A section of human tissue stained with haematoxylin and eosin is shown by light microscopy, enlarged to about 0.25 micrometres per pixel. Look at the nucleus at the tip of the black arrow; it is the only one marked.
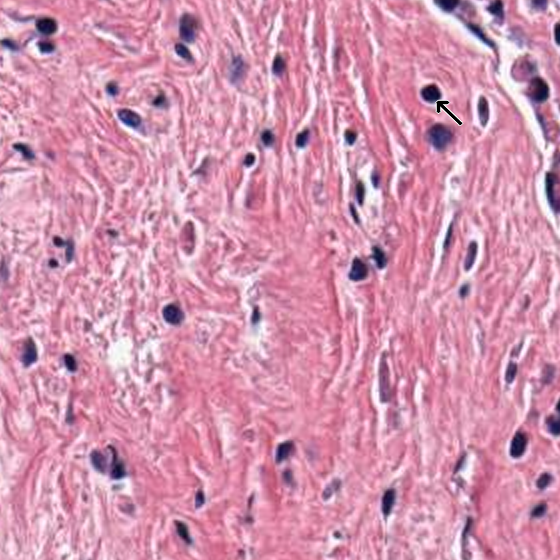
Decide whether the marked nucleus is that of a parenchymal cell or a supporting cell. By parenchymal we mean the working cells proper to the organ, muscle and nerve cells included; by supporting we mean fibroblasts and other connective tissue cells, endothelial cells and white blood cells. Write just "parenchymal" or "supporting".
supporting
